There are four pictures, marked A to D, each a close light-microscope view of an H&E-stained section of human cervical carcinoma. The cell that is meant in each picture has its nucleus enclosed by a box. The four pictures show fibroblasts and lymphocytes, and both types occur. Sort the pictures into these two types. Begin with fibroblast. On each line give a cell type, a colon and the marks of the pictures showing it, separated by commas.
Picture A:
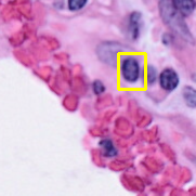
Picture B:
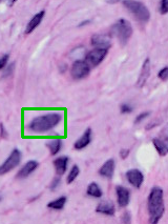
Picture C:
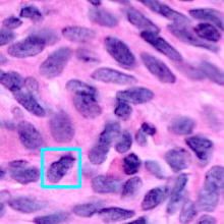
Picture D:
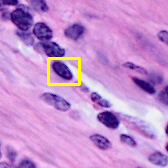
fibroblast: B, C
lymphocyte: A, D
